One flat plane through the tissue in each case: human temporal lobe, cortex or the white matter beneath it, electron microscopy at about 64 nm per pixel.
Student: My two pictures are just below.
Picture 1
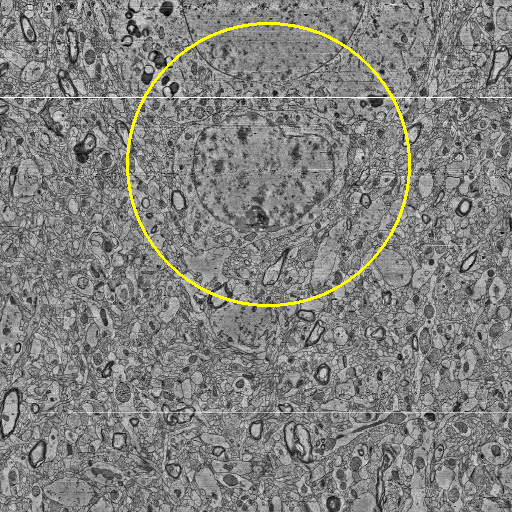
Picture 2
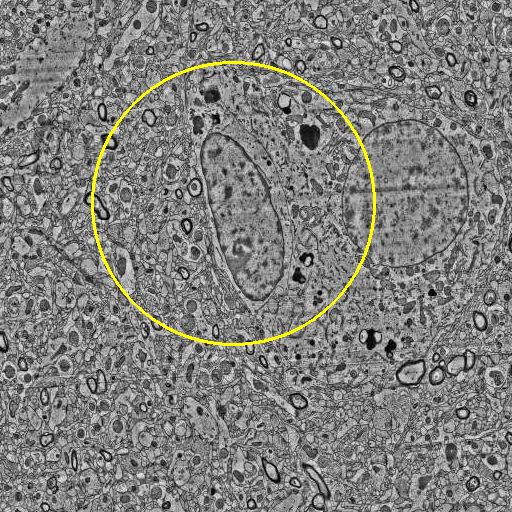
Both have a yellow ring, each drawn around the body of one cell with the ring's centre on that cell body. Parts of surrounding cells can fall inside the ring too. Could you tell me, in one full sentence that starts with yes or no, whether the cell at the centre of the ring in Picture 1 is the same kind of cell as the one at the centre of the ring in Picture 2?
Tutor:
No, the two cells are of two kinds.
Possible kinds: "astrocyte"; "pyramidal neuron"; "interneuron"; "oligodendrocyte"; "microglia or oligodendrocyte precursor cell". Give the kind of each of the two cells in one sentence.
The cell in the second picture is a microglial cell or oligodendrocyte precursor cell, and that in the first is an interneuron.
